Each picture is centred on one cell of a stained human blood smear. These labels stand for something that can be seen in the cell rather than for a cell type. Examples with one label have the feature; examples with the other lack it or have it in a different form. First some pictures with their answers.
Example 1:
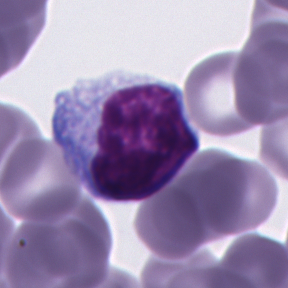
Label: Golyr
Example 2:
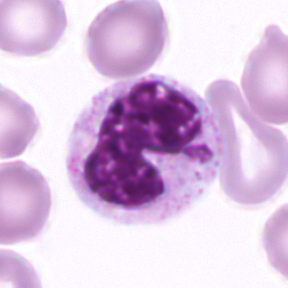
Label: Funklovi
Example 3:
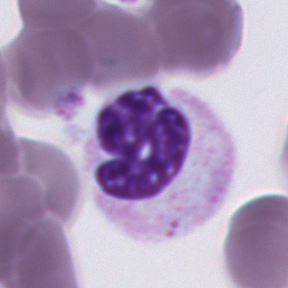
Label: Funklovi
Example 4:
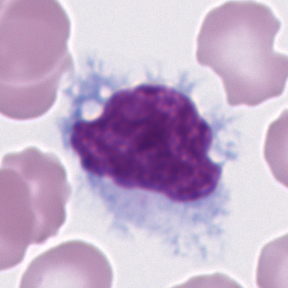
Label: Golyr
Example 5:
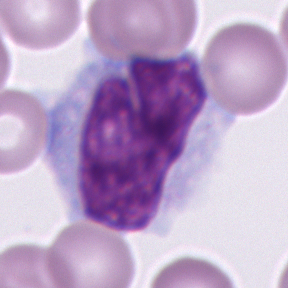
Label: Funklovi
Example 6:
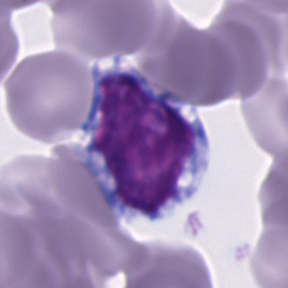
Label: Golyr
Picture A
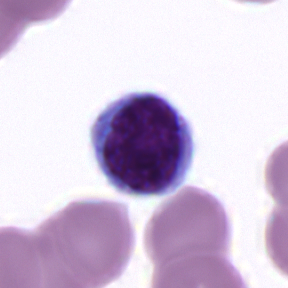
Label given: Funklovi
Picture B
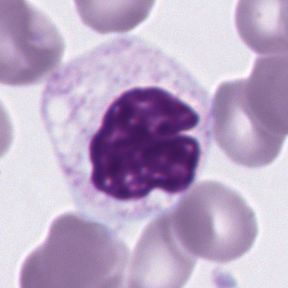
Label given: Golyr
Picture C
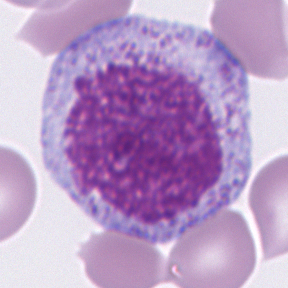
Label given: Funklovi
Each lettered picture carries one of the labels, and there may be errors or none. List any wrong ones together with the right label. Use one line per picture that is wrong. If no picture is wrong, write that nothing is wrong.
Nothing to fix; every label fits.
